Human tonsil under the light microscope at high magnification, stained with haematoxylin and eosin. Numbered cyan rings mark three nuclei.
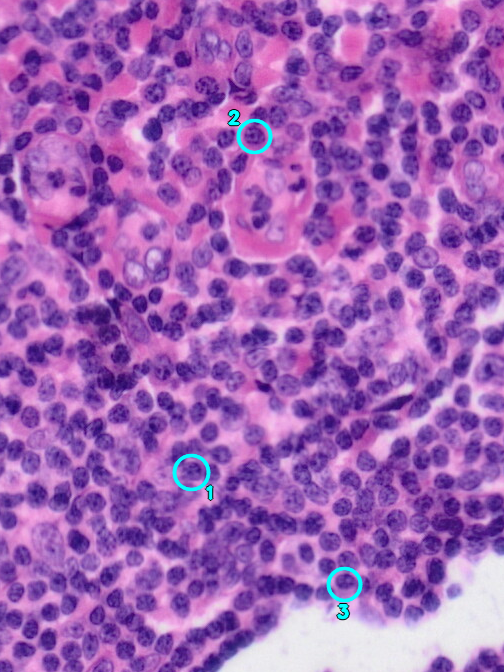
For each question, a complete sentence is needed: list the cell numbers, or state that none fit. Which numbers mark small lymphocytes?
The cells bearing the numbers 1 and 3 are small lymphocytes.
